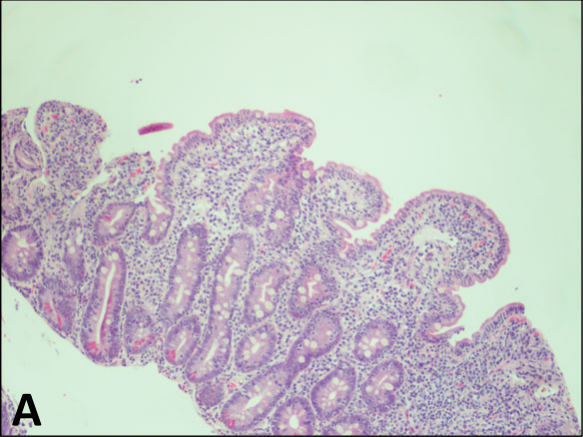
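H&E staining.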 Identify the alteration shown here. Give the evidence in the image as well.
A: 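The villi are short and broad rather than tall and slender. The mucosal surface is flattened with low blunt projections. So: subtotal villous atrophy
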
